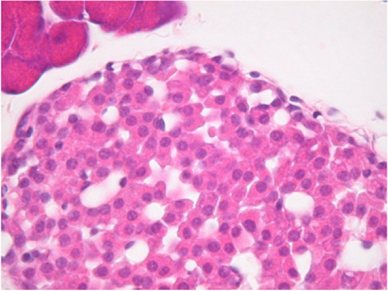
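This section shows a pancreatic islet occupying most of the field, with a few exocrine acinar cells at the upper left corner. The islet consists of densely packed polygonal cells with pale pink cytoplasm and round, centrally placed purple nuclei. Scattered clear, slit-like and rounded spaces, consistent with capillaries, lie between groups of cells. The acinar cells outside the islet are strongly stained deep pink-red.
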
